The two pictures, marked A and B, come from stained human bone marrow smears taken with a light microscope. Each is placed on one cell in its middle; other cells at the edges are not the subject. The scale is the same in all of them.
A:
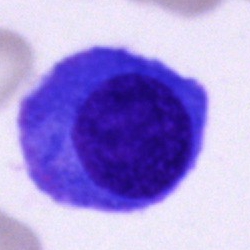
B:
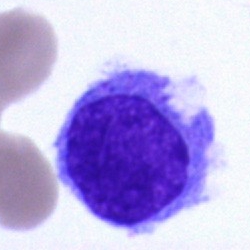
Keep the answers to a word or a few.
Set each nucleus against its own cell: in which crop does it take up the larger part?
B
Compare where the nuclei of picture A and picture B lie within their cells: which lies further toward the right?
A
